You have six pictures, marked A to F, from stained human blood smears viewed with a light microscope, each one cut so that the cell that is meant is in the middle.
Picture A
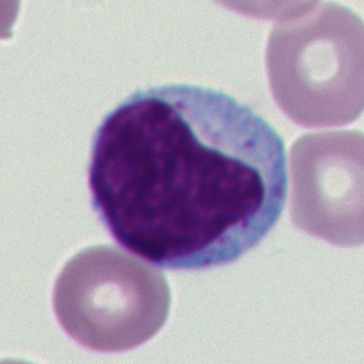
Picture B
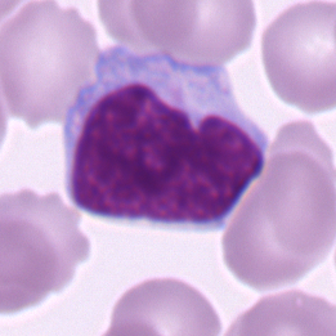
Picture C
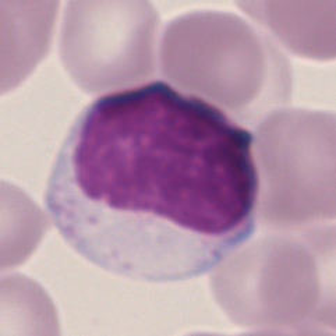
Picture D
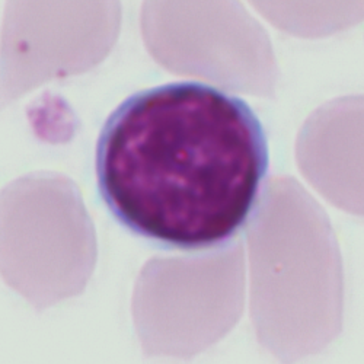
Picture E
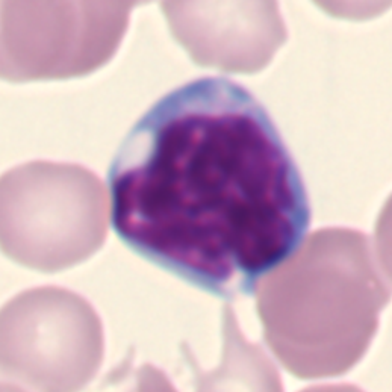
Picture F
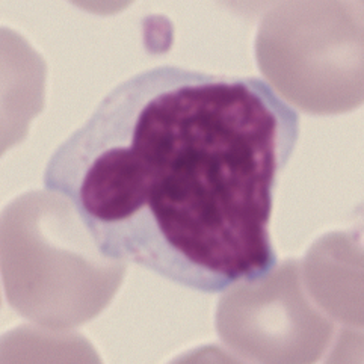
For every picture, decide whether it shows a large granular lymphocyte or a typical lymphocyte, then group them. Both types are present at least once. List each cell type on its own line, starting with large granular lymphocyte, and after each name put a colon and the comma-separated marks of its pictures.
large granular lymphocyte: A, C, F
typical lymphocyte: B, D, E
